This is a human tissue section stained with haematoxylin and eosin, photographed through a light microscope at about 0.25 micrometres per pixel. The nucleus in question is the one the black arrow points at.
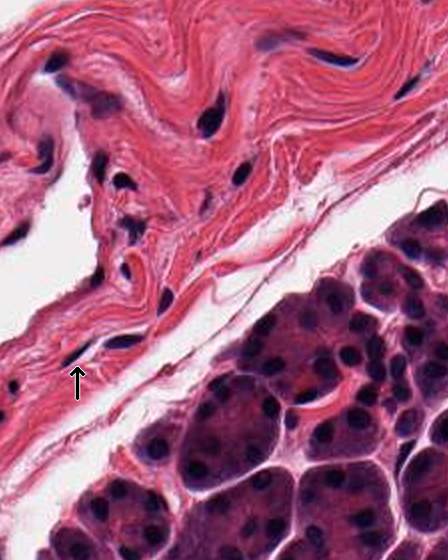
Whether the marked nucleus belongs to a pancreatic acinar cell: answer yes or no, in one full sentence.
No, the marked nucleus is not borne by a pancreatic acinar cell; it is borne by a supporting cell.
